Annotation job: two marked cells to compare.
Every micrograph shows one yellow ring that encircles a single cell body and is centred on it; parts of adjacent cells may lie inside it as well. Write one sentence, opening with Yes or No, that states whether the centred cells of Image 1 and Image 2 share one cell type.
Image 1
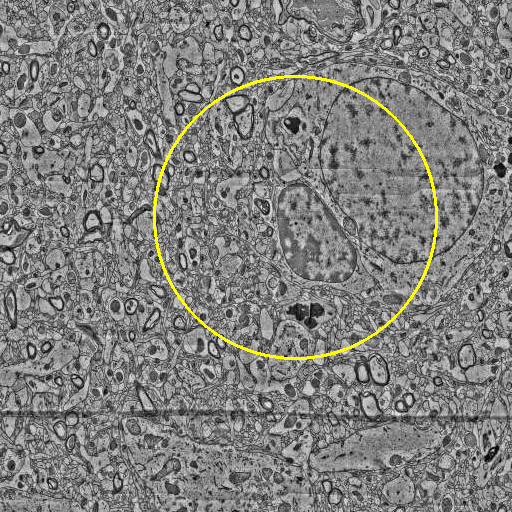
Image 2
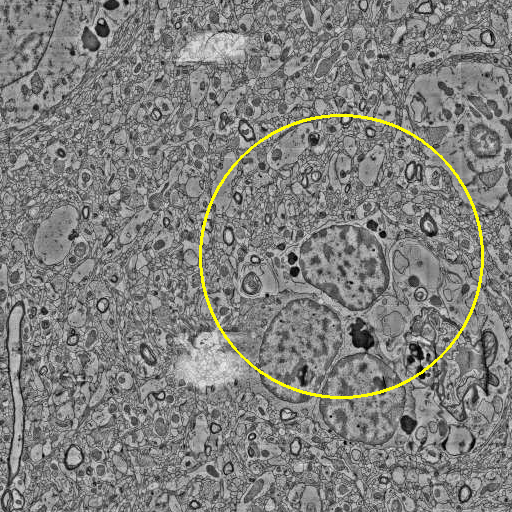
Yes, the cell centred in Image 1 shares its type with the cell centred in Image 2.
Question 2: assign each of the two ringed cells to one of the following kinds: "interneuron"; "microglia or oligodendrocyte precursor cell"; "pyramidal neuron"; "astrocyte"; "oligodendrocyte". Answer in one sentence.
Each of the two pictures has a microglial cell or oligodendrocyte precursor cell at the ring centre.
